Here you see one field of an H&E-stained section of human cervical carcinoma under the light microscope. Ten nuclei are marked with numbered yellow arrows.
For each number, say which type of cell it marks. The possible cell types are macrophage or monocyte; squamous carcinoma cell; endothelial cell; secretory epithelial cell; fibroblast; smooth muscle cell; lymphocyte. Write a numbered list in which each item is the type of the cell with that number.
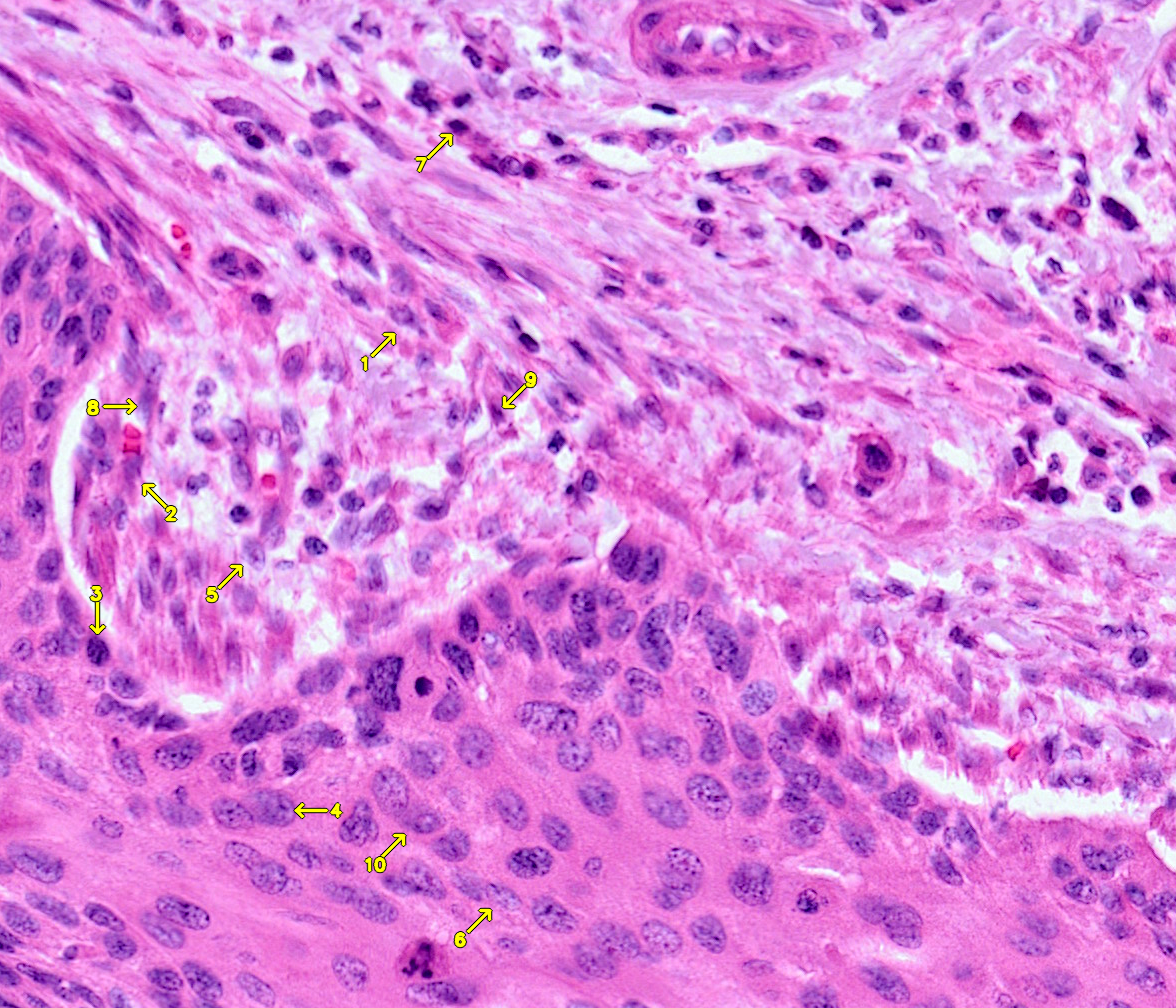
1. fibroblast
2. endothelial cell
3. squamous carcinoma cell
4. squamous carcinoma cell
5. fibroblast
6. squamous carcinoma cell
7. lymphocyte
8. endothelial cell
9. fibroblast
10. squamous carcinoma cell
